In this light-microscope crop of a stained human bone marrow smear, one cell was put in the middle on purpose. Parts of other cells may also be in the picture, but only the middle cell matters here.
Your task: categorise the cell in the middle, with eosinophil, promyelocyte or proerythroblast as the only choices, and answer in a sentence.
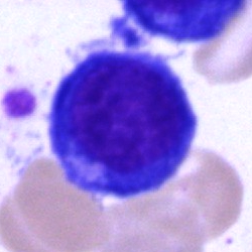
The cell centred in this crop is categorized as a proerythroblast.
